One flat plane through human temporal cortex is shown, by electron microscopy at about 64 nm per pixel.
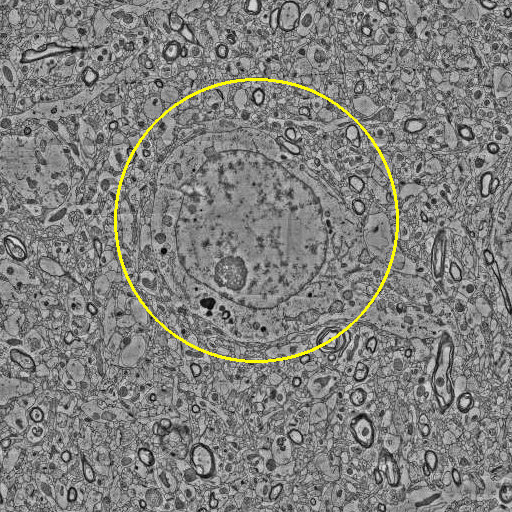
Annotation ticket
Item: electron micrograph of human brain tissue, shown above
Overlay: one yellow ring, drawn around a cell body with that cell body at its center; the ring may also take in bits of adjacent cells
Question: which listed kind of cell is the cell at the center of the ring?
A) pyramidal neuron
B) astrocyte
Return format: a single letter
A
